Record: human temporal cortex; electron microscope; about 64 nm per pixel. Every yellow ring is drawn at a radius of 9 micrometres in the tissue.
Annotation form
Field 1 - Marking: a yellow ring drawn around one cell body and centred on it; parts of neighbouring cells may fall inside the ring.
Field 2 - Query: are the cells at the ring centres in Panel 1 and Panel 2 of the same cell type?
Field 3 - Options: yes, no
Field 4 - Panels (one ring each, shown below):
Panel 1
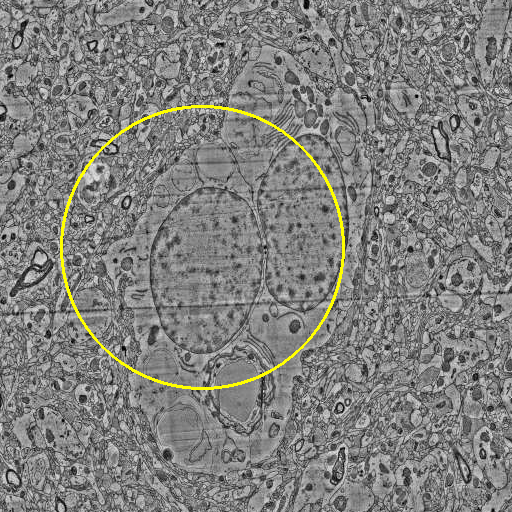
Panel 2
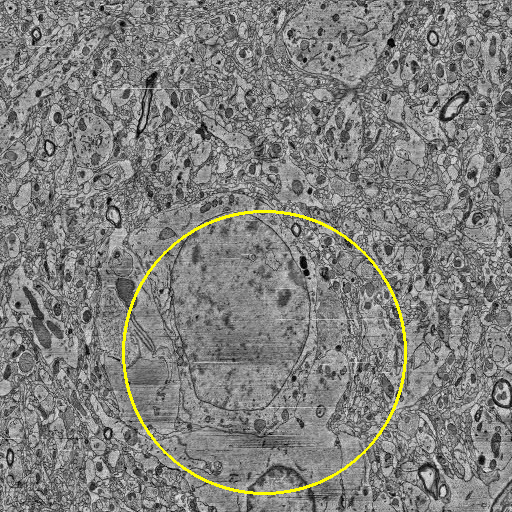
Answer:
no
